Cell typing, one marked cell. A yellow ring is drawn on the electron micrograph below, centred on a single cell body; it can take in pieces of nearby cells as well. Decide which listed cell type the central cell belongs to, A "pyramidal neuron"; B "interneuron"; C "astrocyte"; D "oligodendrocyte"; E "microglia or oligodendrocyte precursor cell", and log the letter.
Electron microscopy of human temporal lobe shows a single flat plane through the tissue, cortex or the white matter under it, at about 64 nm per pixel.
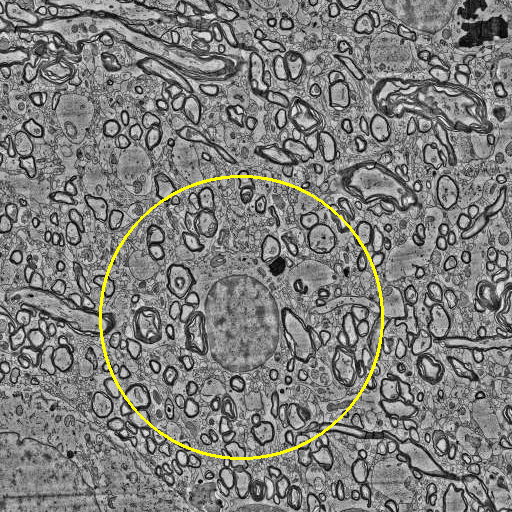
D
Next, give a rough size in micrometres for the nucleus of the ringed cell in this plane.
The nucleus appears about 6 micrometres across in this plane.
